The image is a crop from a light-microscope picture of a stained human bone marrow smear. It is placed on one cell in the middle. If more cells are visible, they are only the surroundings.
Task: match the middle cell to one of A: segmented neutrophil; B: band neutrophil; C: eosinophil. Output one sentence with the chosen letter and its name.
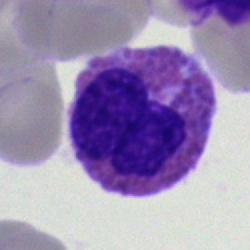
Option C gives the correct identity of the central cell, namely an eosinophil.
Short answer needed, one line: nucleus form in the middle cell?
Look at the nucleus and you will find it divided into two or more lobes.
